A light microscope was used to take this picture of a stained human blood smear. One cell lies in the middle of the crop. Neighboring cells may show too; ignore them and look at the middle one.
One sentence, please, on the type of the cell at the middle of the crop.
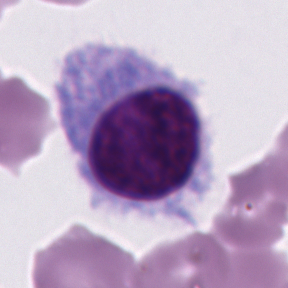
The cell shown in the center of this light-microscope crop is a hairy cell.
